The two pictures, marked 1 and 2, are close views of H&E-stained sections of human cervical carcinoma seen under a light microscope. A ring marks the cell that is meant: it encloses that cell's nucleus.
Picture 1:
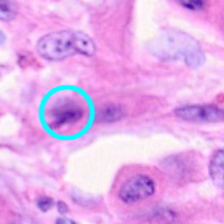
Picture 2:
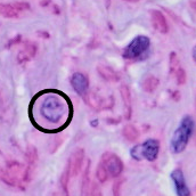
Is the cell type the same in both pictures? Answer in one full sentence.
Yes, they are the same type: both are “macrophages or monocytes”.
